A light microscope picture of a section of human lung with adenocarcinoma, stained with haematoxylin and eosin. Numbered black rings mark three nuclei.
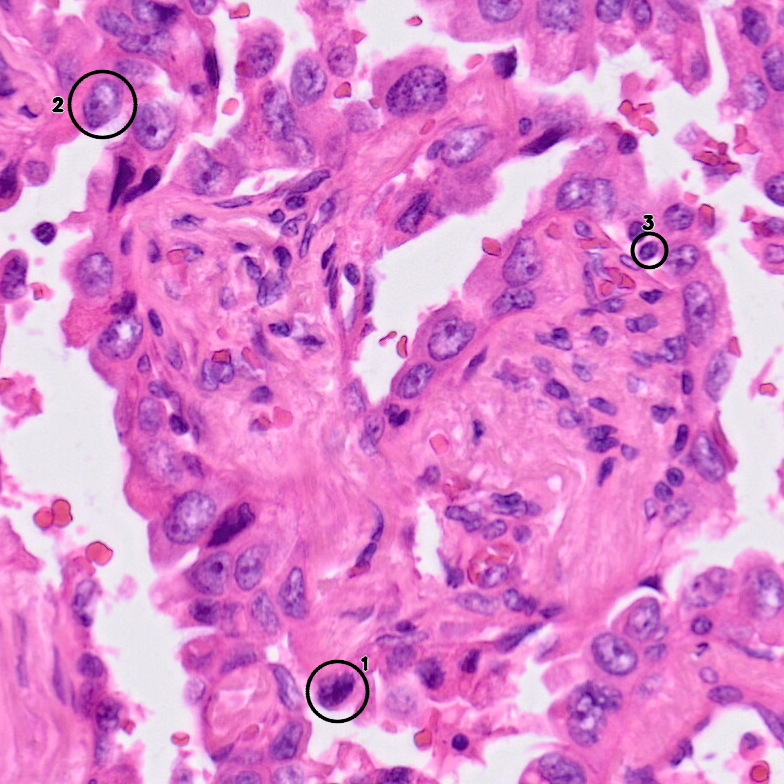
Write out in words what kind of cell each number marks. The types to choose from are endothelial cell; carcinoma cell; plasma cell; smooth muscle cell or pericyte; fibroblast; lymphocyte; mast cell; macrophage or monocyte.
Cell 1 is a carcinoma cell, cell 2 is a carcinoma cell and cell 3 is a lymphocyte.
